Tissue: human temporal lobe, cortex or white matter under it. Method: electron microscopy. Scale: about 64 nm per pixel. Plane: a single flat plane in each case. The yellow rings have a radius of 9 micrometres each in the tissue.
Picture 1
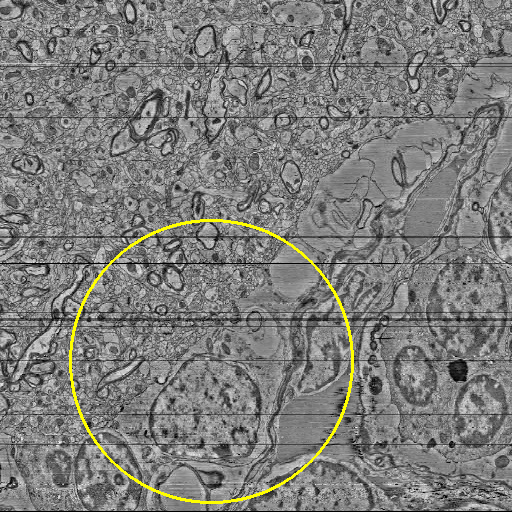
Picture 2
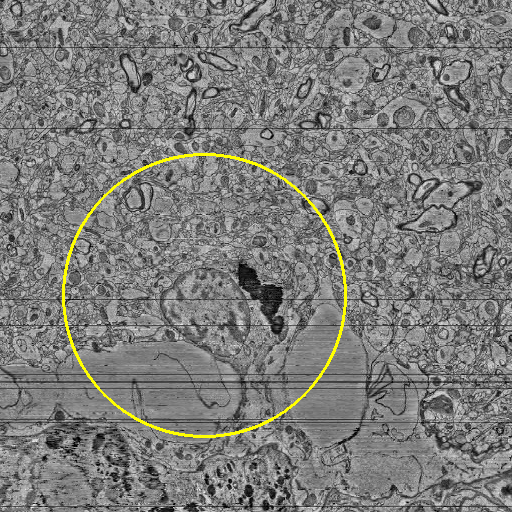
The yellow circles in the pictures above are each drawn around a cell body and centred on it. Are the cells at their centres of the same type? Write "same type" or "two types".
two types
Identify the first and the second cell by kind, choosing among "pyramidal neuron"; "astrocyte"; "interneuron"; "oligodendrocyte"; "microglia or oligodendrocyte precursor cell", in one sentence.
The one in the first picture is a microglial cell or oligodendrocyte precursor cell, while the one in the second is an oligodendrocyte.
